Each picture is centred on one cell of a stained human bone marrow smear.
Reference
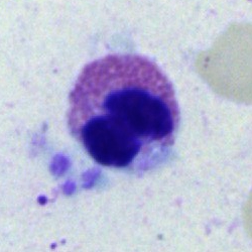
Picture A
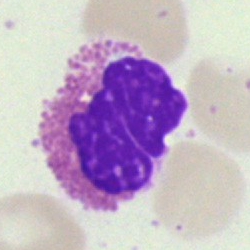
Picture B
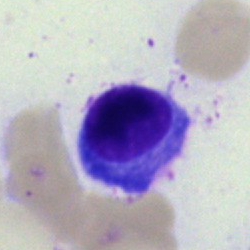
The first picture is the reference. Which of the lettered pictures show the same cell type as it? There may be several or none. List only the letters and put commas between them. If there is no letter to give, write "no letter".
A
